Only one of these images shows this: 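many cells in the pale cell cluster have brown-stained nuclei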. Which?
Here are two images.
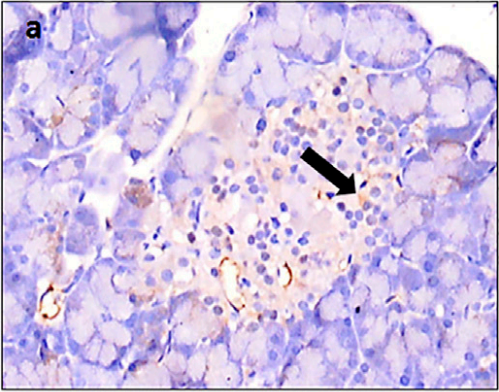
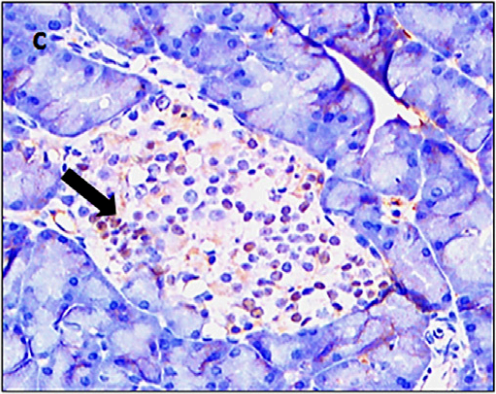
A: The second image.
